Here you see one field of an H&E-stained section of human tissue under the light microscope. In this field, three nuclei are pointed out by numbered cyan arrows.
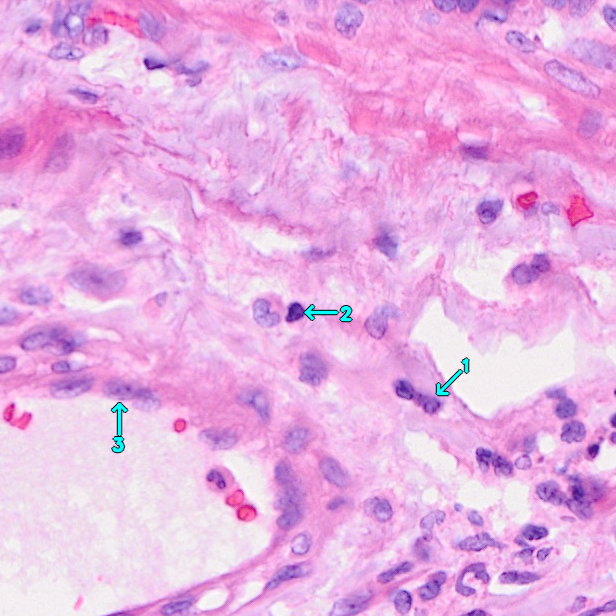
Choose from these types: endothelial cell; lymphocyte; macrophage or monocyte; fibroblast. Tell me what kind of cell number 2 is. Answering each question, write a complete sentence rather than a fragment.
The cell to which the number 2 is assigned is a lymphocyte.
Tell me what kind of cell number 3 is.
Corresponding to an endothelial cell is the cell labelled 3.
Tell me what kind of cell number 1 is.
Nucleus 1 in this section belongs to a macrophage or monocyte.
